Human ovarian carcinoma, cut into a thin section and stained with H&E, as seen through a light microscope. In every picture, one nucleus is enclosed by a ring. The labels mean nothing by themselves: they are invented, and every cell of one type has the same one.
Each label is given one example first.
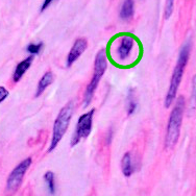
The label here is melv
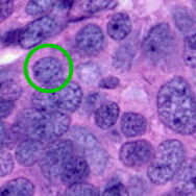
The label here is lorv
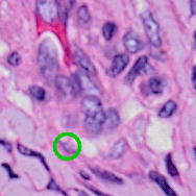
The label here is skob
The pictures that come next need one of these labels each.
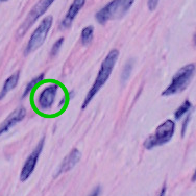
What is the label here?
melv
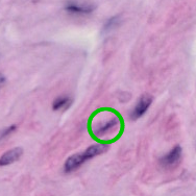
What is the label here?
melv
